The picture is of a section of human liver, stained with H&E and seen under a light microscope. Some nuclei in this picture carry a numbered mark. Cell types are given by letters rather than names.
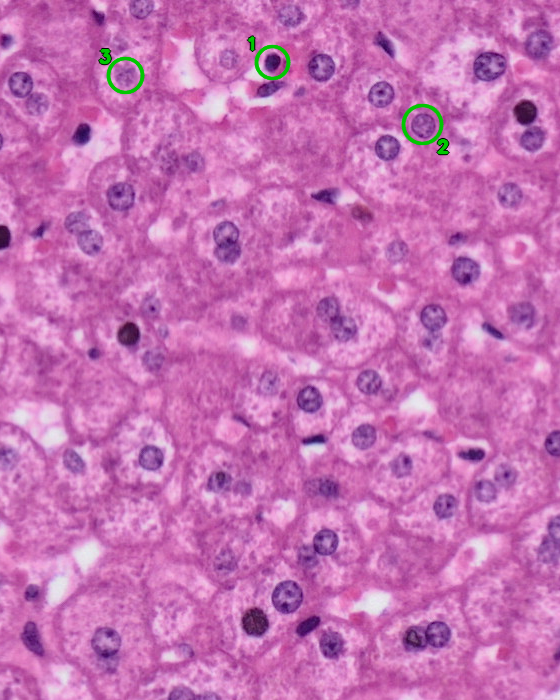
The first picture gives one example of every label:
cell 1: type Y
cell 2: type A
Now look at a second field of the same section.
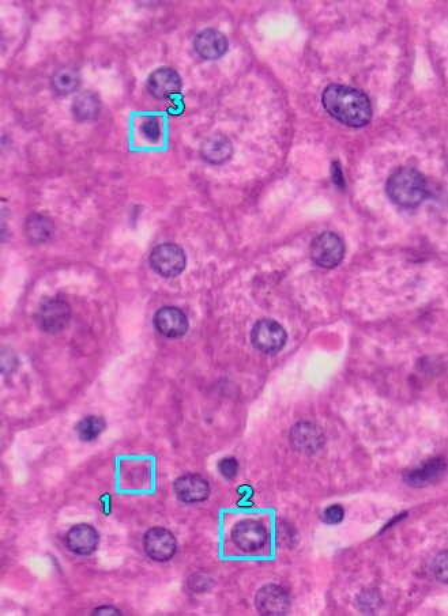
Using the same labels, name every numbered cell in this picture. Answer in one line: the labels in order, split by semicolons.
type A; type A; type Y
